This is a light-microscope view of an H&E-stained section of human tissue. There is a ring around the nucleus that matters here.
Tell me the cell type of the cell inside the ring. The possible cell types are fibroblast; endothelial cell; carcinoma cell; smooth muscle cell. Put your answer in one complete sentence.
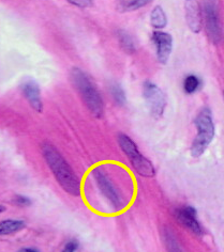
At the level of cell identity, the cell inside the ring is a smooth muscle cell.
